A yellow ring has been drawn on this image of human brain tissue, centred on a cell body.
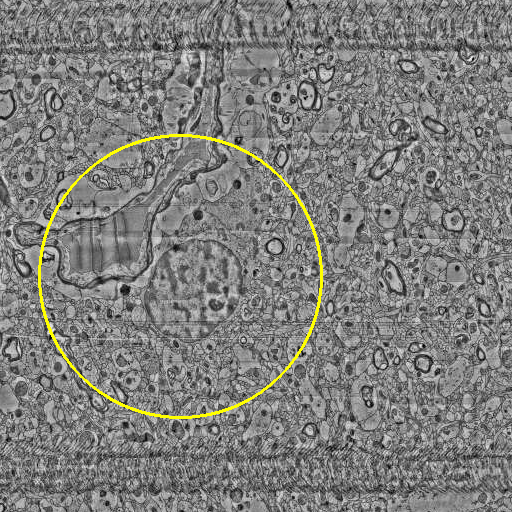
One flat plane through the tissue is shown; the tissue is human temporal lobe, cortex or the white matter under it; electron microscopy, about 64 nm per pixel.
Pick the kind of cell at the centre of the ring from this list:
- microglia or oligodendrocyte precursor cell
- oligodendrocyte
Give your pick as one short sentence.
The centre of the ring holds an oligodendrocyte.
